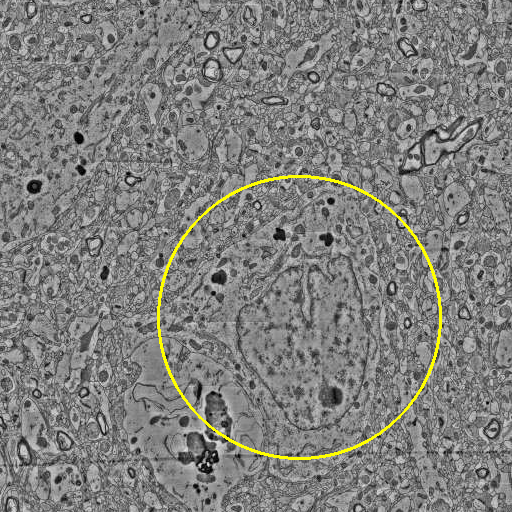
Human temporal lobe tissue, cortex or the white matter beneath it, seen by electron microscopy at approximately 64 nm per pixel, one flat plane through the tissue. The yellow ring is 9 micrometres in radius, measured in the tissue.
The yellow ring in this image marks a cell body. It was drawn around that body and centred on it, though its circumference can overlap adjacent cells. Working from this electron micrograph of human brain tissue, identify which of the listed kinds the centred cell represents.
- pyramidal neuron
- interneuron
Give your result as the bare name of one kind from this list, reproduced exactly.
interneuron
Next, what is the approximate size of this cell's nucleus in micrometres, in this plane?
The ringed cell's nucleus measures approximately 10 by 9 micrometres in this plane.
